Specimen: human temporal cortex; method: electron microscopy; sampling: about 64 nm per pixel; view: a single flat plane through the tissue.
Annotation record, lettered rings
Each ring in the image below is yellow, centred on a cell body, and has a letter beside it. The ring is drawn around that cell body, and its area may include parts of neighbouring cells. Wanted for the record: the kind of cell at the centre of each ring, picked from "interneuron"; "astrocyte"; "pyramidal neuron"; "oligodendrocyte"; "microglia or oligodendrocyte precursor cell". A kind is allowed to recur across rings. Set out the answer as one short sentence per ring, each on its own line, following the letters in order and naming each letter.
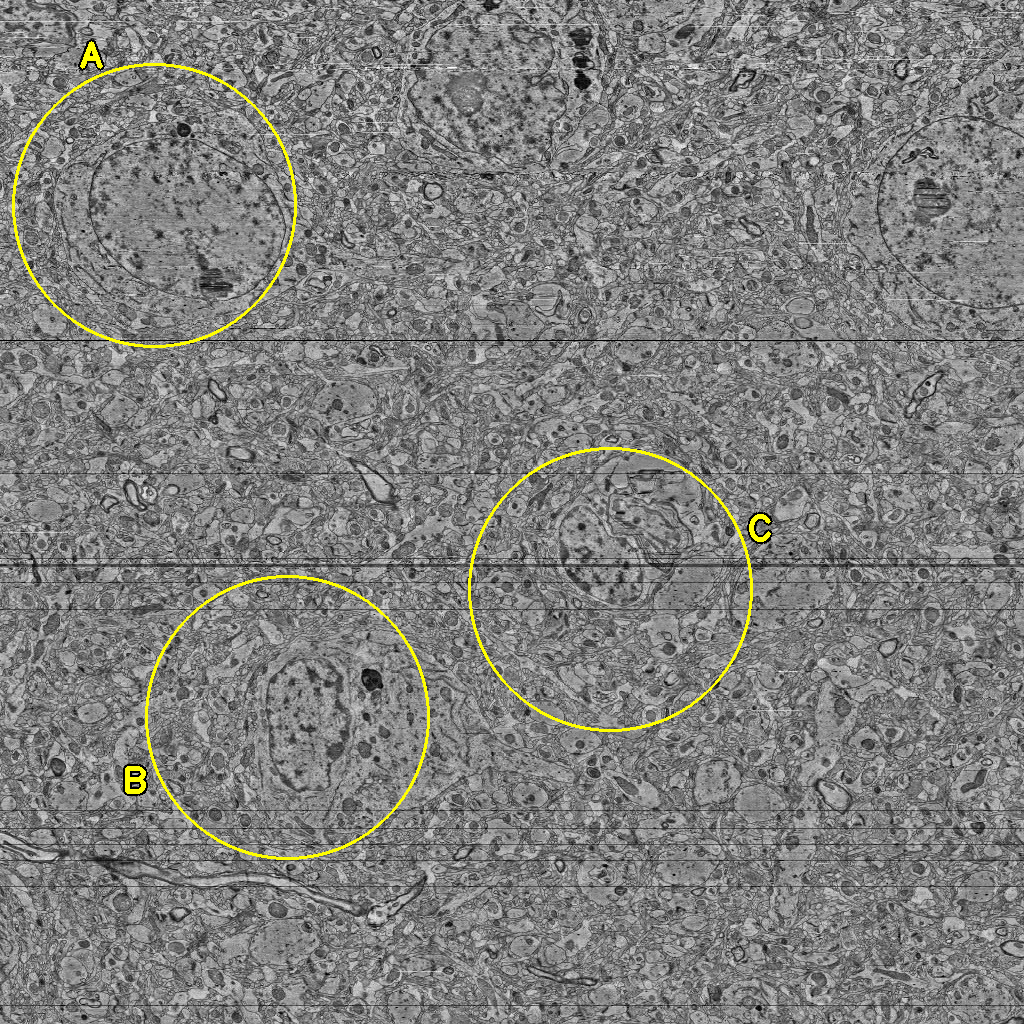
Ring A was drawn on a pyramidal neuron.
Ring B was drawn on a microglial cell or oligodendrocyte precursor cell.
Ring C was drawn on a microglial cell or oligodendrocyte precursor cell.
